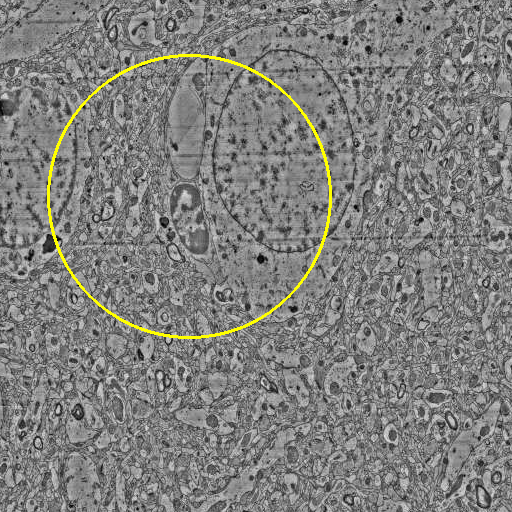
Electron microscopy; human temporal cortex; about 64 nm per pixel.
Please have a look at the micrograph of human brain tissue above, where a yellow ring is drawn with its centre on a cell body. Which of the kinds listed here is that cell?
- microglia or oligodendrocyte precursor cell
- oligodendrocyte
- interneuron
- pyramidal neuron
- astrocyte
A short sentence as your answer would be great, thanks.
At the centre of the ring sits a microglial cell or oligodendrocyte precursor cell.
